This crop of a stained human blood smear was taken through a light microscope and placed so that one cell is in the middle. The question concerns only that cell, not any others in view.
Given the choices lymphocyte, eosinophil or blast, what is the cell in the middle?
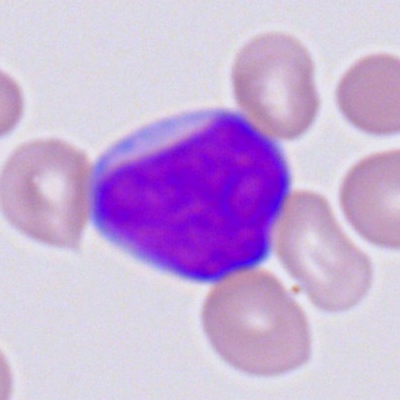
blast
